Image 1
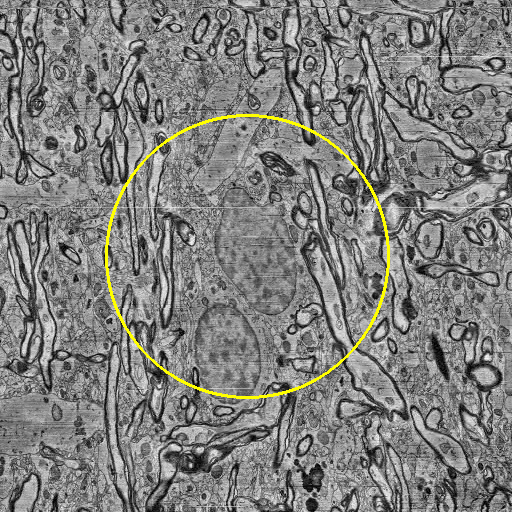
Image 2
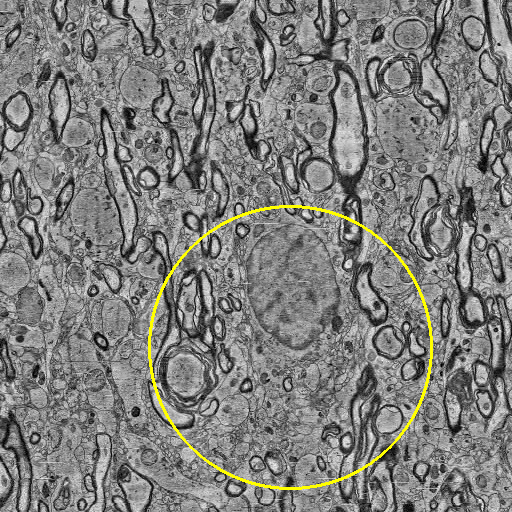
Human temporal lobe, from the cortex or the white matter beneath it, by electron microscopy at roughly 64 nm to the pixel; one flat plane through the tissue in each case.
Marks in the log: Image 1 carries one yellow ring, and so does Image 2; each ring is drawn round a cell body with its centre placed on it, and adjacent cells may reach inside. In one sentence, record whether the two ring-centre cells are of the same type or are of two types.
The two cells at the ring centres, one in each image, are of the same type.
